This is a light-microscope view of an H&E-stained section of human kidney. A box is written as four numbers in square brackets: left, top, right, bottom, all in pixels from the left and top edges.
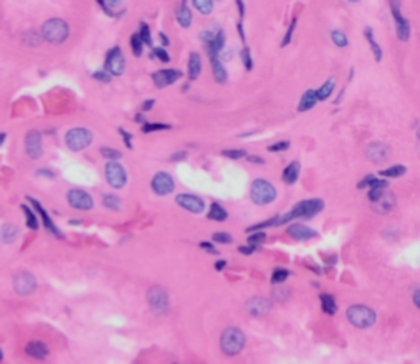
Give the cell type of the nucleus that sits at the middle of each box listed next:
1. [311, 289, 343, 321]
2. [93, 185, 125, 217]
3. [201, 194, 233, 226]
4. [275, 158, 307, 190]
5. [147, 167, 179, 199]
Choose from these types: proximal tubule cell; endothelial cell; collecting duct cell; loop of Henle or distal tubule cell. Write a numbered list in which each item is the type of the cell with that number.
1. proximal tubule cell
2. collecting duct cell
3. collecting duct cell
4. endothelial cell
5. collecting duct cell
